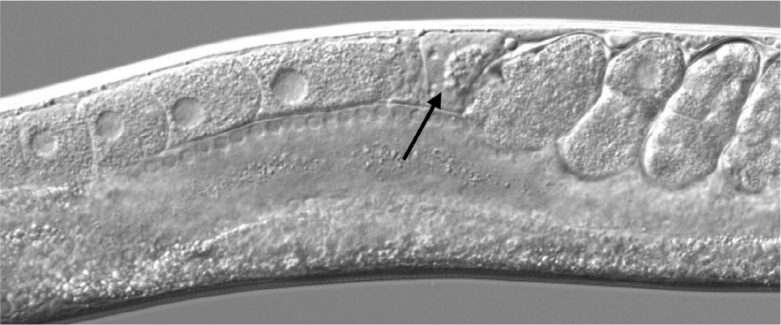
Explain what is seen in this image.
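Along the tube on the left lie large box-shaped cells in single file, each with a round clear nucleus; in the middle a bulge holds a cluster of tiny granular bodies, and to the right lie oval, shelled eggs, some already divided. These are oocytes in the oviduct, sperm held in the spermatheca, and embryos in the uterus.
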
